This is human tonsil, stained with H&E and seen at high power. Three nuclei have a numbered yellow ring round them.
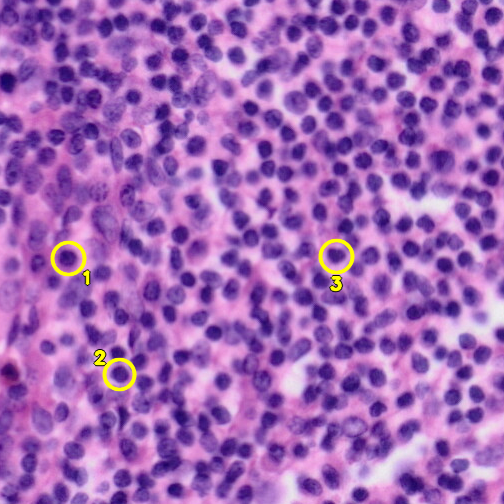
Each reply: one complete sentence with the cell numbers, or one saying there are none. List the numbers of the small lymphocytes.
The cells numbered 2 and 3 are identified as small lymphocytes.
